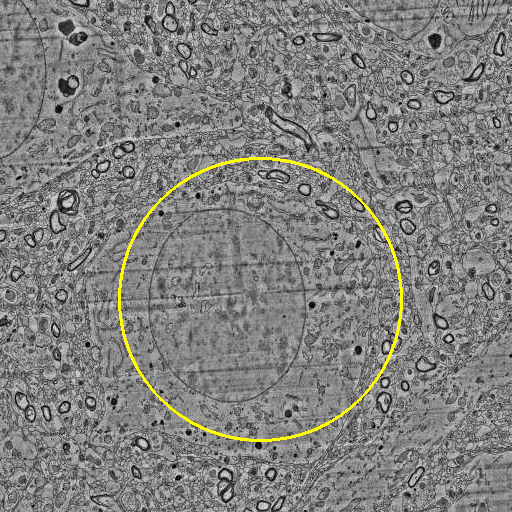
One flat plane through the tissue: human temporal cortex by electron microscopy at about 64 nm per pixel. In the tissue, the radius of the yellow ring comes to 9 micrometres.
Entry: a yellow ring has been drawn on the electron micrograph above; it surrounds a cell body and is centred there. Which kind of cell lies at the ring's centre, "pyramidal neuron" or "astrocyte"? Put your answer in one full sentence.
The cell sitting at the ring's centre is a pyramidal neuron in the micrograph above.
